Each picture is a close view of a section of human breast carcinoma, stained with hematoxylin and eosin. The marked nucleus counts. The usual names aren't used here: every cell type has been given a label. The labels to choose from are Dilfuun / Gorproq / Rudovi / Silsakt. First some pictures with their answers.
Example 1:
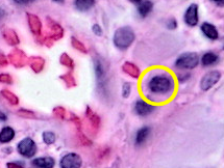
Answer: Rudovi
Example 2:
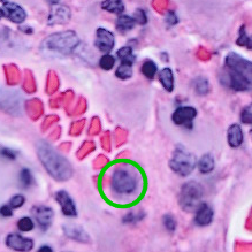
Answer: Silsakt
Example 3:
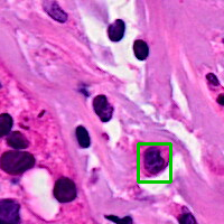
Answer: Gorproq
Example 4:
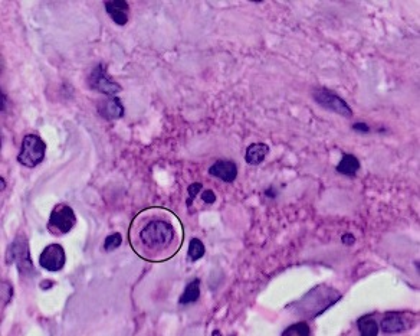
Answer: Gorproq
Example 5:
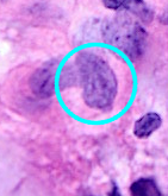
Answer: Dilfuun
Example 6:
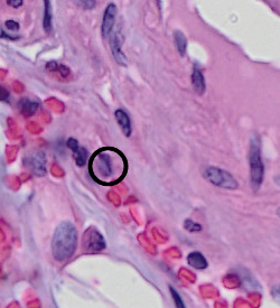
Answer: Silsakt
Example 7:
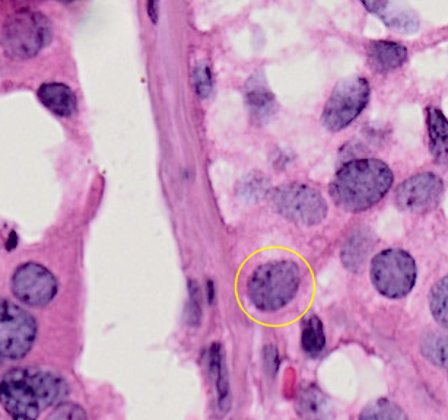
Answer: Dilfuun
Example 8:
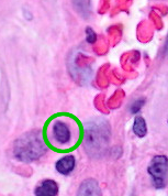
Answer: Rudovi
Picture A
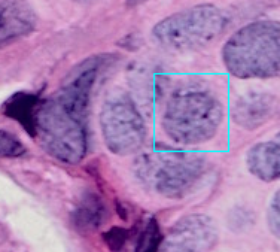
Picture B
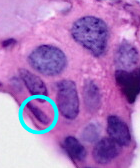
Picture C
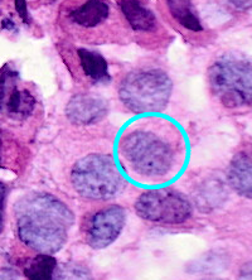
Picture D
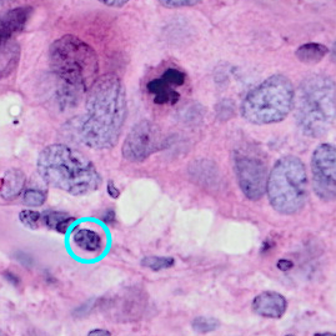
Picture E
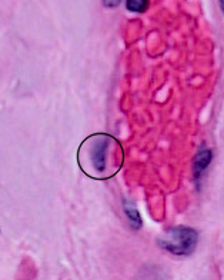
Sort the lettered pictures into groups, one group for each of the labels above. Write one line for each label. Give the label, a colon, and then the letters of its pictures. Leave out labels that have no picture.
Dilfuun: A, B, C
Rudovi: D
Silsakt: E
